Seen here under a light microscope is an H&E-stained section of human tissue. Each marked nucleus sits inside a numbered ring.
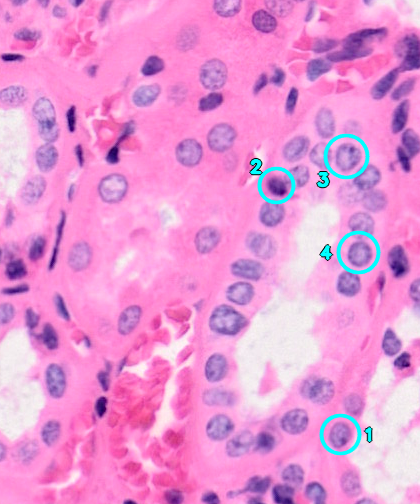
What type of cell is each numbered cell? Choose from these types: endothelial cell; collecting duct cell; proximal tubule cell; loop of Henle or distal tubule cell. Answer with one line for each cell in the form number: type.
1: loop of Henle or distal tubule cell
2: collecting duct cell
3: collecting duct cell
4: collecting duct cell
